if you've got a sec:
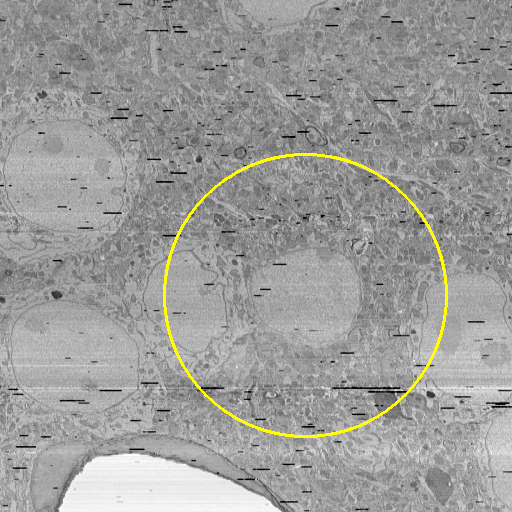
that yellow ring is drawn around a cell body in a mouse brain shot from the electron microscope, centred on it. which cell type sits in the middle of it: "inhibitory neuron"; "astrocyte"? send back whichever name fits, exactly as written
astrocyte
